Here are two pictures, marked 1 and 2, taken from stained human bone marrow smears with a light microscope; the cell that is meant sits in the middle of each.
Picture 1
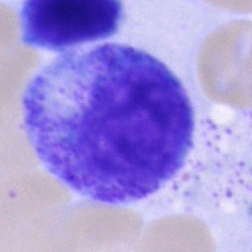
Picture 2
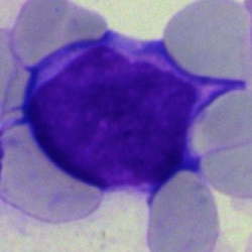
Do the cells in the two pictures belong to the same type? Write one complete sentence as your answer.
No. Picture 1 shows a promyelocyte, but picture 2 shows a blast.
